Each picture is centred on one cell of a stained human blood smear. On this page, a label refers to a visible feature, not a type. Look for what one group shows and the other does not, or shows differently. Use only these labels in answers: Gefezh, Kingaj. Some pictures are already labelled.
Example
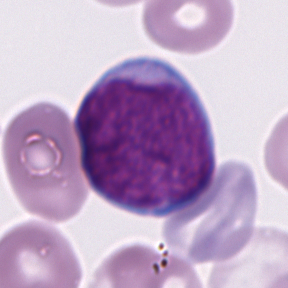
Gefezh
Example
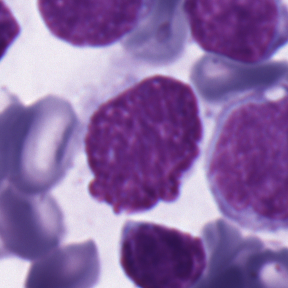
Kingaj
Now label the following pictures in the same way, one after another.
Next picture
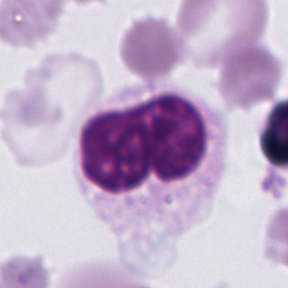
Kingaj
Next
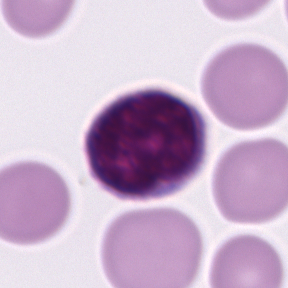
Gefezh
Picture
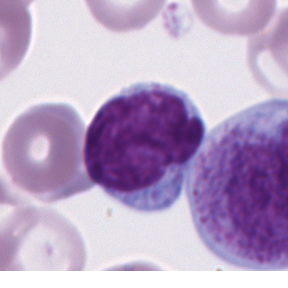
Gefezh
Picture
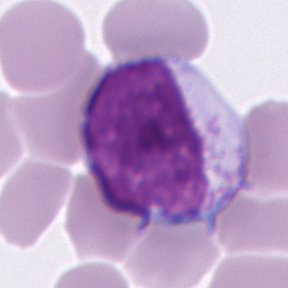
Kingaj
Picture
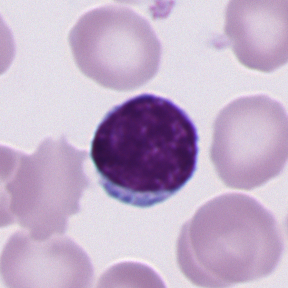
Gefezh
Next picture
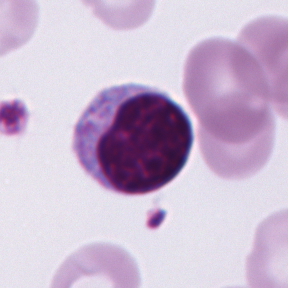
Gefezh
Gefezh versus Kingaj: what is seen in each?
Seen in Gefezh: smooth outline; seen in Kingaj: ragged outline or projections.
